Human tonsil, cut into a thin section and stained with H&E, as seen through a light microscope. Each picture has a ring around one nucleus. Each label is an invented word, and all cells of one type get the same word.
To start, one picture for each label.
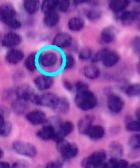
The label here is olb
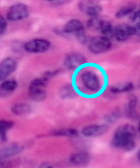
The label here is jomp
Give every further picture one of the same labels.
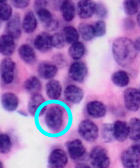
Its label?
olb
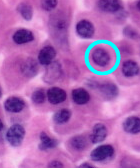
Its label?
jomp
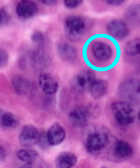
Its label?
jomp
